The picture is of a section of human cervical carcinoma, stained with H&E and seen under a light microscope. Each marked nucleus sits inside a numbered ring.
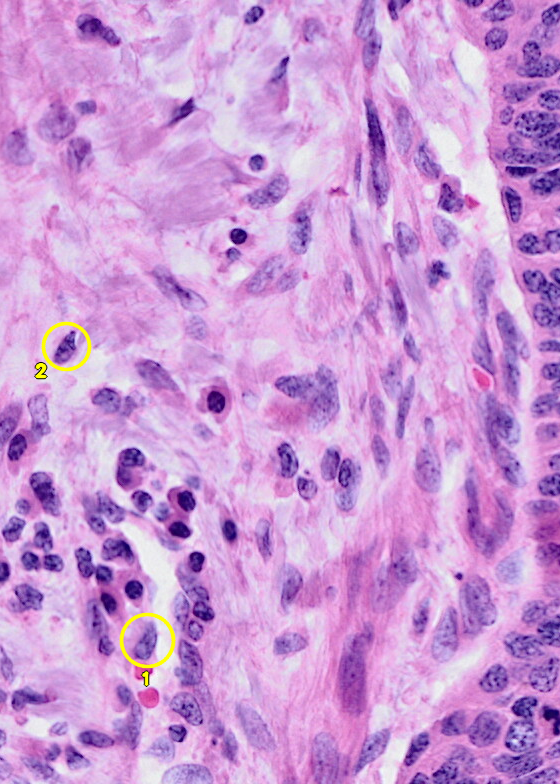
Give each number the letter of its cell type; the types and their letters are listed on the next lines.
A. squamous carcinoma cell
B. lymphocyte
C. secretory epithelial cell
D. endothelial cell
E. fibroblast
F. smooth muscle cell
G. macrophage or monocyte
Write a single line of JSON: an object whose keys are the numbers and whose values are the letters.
{"1": "D", "2": "B"}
